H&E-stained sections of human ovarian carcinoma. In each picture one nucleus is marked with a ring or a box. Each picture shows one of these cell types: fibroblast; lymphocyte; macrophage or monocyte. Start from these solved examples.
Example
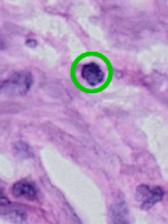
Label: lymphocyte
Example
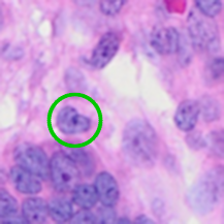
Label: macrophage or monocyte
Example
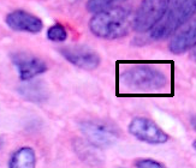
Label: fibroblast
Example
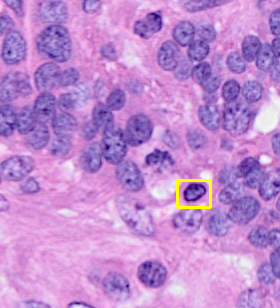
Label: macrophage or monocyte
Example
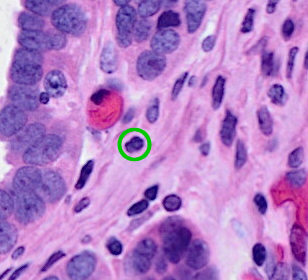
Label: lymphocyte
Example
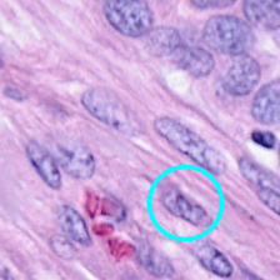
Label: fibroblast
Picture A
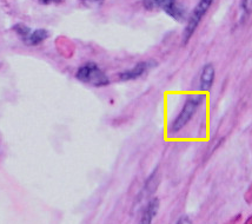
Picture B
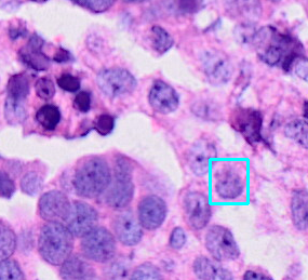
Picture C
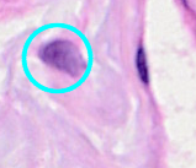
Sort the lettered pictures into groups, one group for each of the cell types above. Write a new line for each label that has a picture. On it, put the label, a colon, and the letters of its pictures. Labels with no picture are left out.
fibroblast: A, C
macrophage or monocyte: B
